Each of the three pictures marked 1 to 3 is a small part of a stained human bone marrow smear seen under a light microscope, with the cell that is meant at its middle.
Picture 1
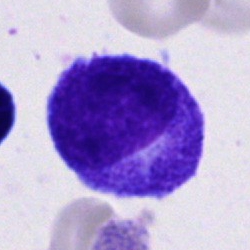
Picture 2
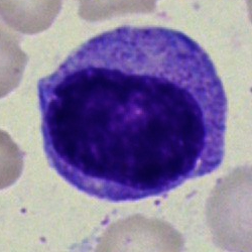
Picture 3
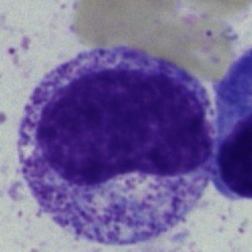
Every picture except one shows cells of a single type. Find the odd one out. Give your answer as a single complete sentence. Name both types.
Picture 1 differs, because its cell is a promyelocyte and the rest are myelocytes.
